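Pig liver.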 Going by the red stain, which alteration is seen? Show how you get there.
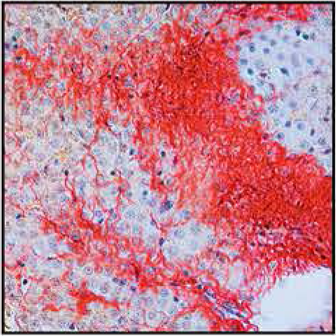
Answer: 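A broad band of dense red fibres crosses the tissue. Thinner red strands extend between groups of pale cells.
Answer: collagen deposition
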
